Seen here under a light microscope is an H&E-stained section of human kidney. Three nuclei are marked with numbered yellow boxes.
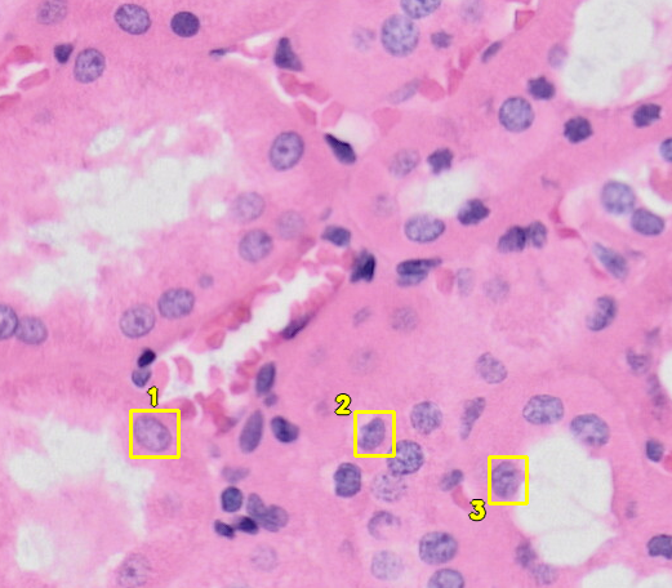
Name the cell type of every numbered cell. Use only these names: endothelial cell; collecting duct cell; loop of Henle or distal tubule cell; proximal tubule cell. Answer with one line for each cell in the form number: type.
1: proximal tubule cell
2: loop of Henle or distal tubule cell
3: loop of Henle or distal tubule cell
